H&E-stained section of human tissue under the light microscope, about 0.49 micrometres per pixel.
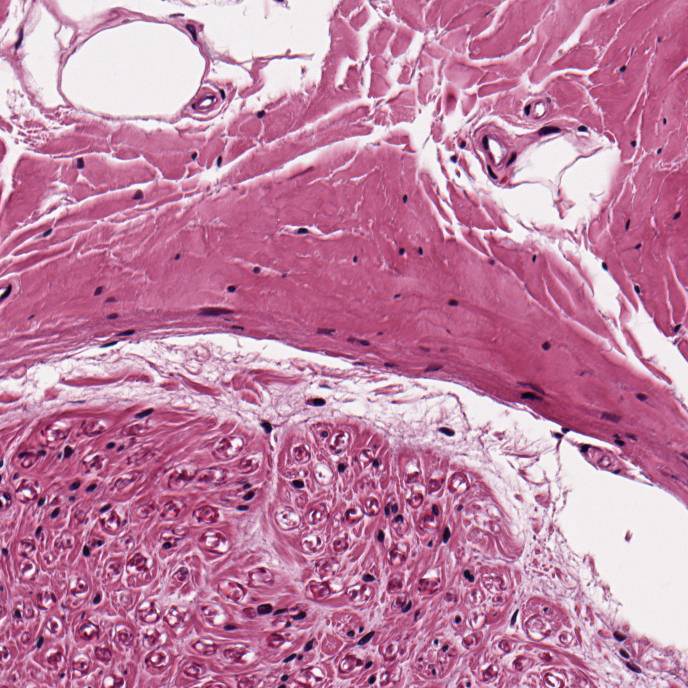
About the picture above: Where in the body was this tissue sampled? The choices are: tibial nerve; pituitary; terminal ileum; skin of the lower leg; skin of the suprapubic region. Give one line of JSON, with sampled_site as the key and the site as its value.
{"sampled_site": "tibial nerve"}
